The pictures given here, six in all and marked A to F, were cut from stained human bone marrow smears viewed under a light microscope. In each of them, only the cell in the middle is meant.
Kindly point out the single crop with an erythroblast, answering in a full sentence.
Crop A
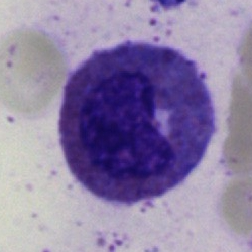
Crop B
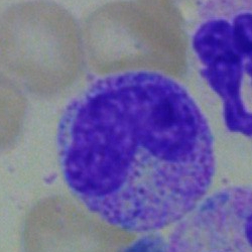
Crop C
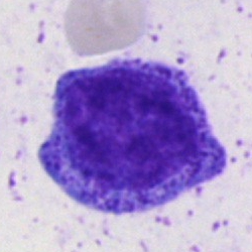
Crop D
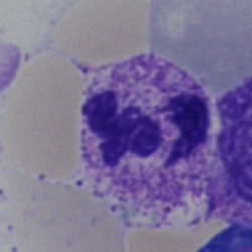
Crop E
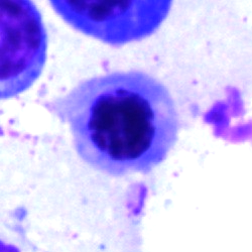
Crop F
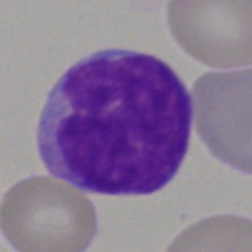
Of all the crops, crop E is the one showing an erythroblast.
